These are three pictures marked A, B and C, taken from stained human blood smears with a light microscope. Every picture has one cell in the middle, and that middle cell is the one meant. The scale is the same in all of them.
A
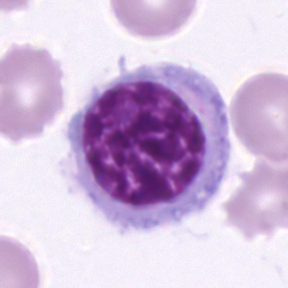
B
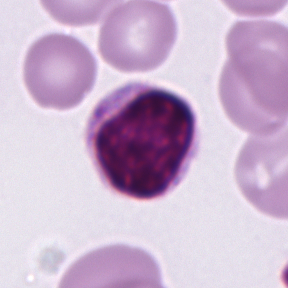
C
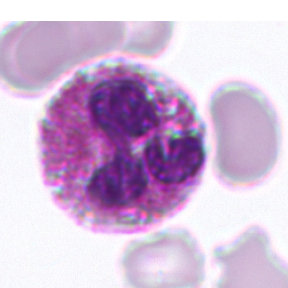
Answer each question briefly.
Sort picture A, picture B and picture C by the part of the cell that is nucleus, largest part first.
B, A, C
